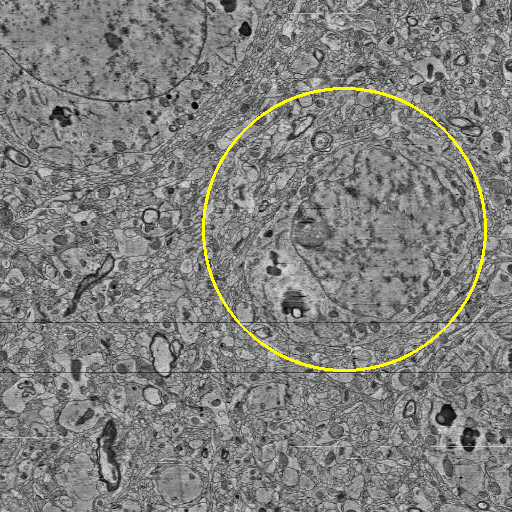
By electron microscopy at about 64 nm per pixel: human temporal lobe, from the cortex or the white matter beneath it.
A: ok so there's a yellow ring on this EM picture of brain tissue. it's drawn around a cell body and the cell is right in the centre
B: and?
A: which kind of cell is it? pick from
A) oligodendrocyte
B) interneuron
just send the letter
B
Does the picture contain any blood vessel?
No, no vessel appears in the picture.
